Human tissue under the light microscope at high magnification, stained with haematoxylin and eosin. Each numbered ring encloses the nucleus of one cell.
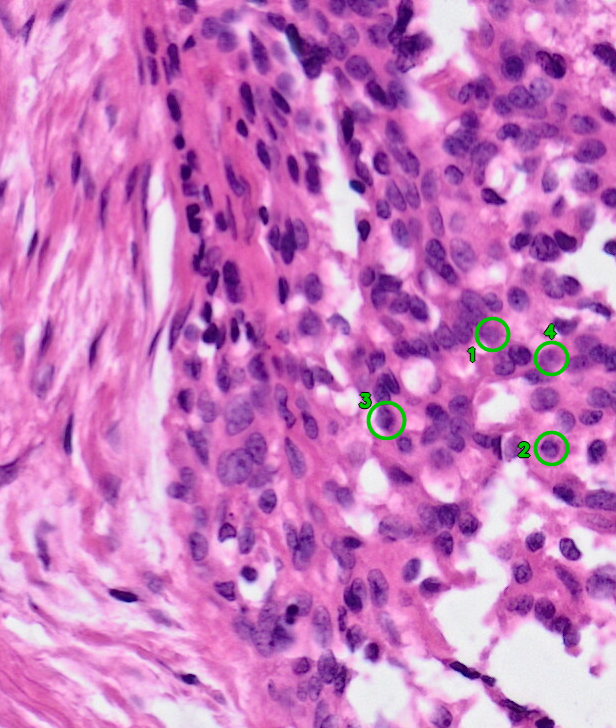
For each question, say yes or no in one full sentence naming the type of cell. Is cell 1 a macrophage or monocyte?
No, sorry, the cell labelled 1 is not a macrophage or monocyte; it is a carcinoma cell.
